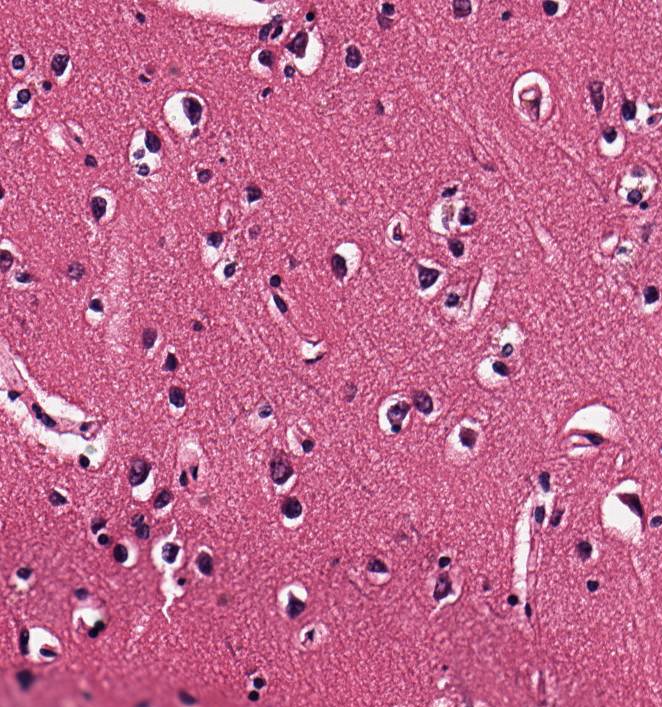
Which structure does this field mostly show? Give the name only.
cerebral cortex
